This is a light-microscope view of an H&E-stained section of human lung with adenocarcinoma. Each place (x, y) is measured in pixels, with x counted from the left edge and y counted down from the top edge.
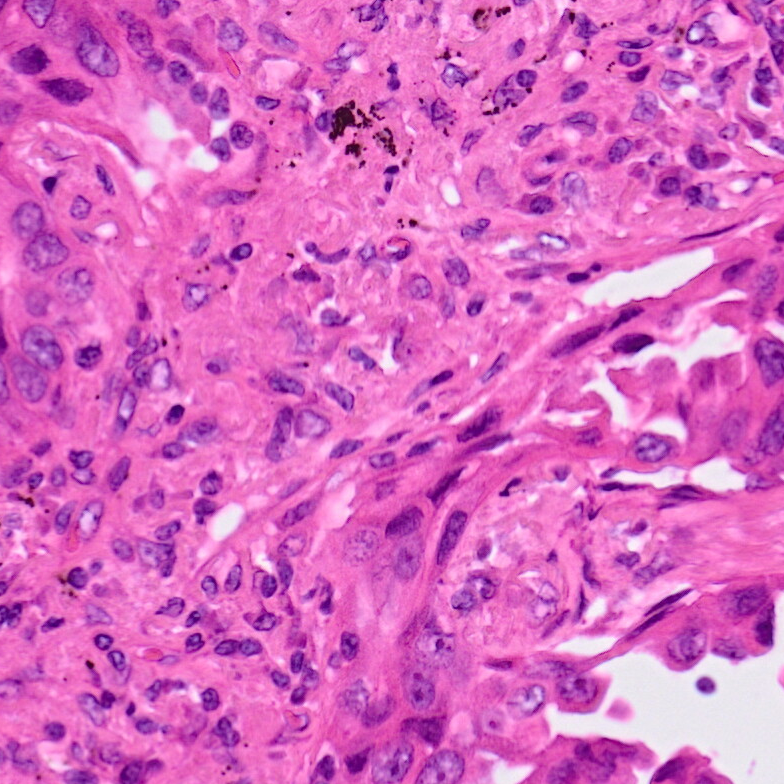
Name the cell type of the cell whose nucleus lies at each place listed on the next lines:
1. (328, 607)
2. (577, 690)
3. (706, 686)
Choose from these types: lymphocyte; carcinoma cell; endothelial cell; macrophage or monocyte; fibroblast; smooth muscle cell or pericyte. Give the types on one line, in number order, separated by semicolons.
lymphocyte; carcinoma cell; lymphocyte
